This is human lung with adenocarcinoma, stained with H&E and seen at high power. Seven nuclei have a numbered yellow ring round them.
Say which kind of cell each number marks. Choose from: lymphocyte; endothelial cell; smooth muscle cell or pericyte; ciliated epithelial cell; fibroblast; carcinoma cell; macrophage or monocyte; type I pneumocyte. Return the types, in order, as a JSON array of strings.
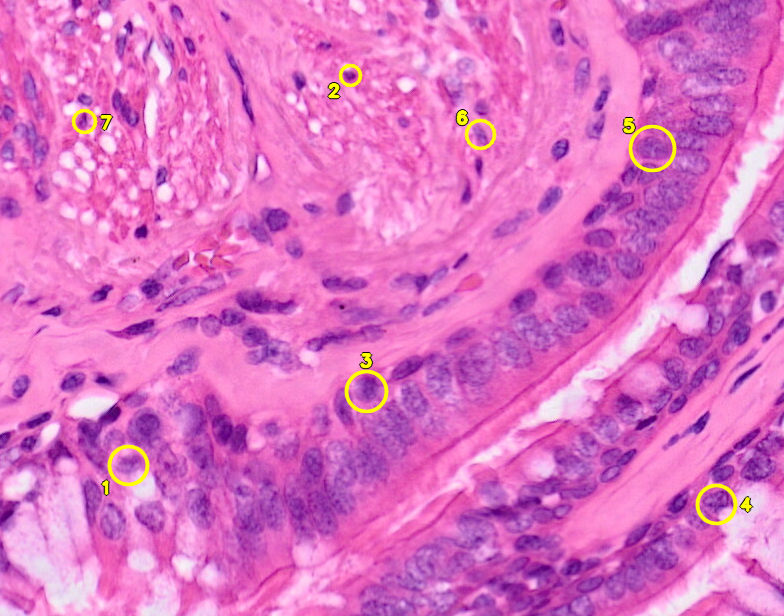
["ciliated epithelial cell", "smooth muscle cell or pericyte", "ciliated epithelial cell", "ciliated epithelial cell", "ciliated epithelial cell", "smooth muscle cell or pericyte", "smooth muscle cell or pericyte"]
